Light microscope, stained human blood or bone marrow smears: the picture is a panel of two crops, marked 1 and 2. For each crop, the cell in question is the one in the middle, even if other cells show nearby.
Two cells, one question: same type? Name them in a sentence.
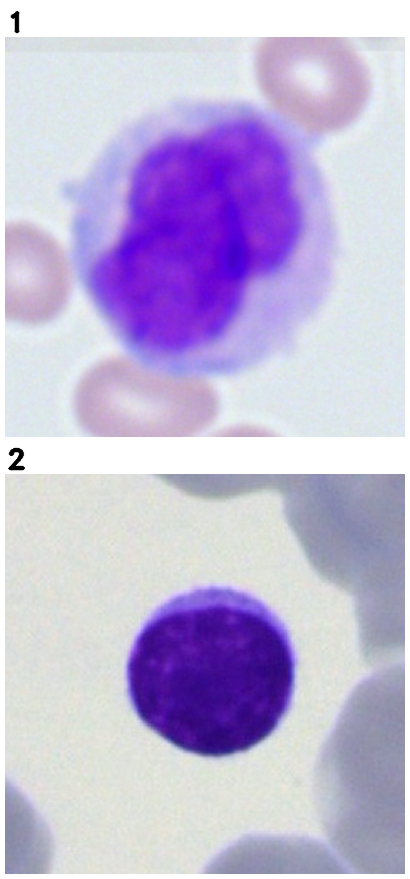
No, a monocyte is the cell in crop 1; a lymphocyte is the cell in crop 2.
